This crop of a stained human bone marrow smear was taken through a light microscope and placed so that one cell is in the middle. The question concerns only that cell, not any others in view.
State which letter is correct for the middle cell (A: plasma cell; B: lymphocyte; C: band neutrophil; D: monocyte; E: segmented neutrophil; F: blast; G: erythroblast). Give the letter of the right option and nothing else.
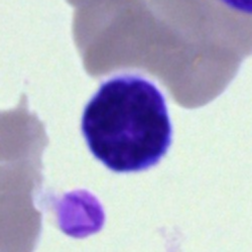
B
